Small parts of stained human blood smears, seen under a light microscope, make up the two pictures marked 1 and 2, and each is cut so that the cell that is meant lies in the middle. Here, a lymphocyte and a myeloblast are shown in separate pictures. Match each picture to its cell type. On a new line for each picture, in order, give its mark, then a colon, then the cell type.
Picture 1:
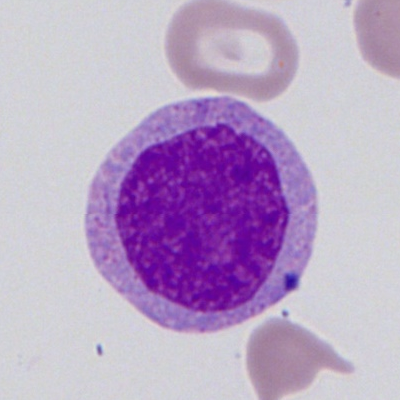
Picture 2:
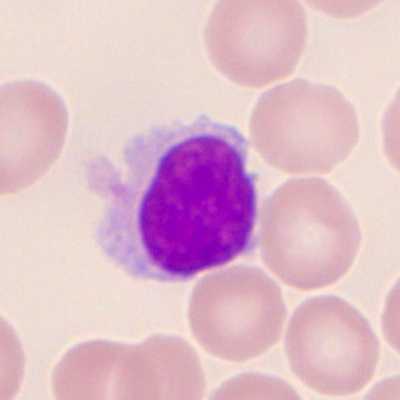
1: myeloblast
2: lymphocyte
